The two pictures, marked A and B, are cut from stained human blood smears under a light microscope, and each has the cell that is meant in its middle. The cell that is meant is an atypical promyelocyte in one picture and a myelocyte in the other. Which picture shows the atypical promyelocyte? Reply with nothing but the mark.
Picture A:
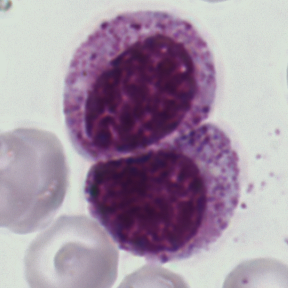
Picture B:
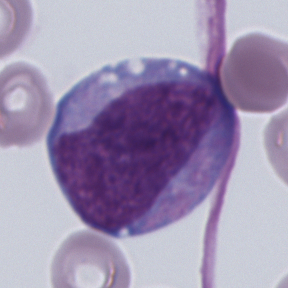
B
